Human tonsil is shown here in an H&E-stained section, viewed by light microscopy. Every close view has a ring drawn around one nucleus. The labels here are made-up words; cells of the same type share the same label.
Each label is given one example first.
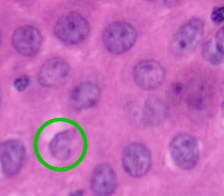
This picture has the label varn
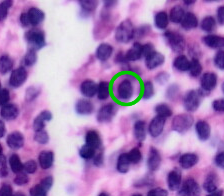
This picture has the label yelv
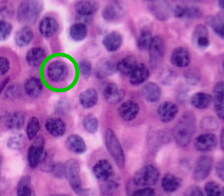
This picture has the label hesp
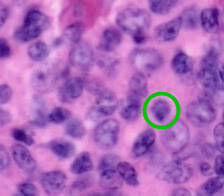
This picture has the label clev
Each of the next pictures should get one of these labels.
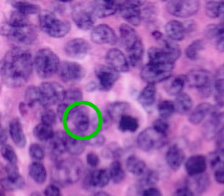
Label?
clev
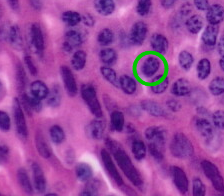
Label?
hesp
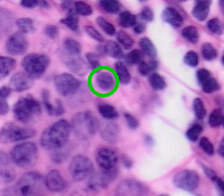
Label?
clev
